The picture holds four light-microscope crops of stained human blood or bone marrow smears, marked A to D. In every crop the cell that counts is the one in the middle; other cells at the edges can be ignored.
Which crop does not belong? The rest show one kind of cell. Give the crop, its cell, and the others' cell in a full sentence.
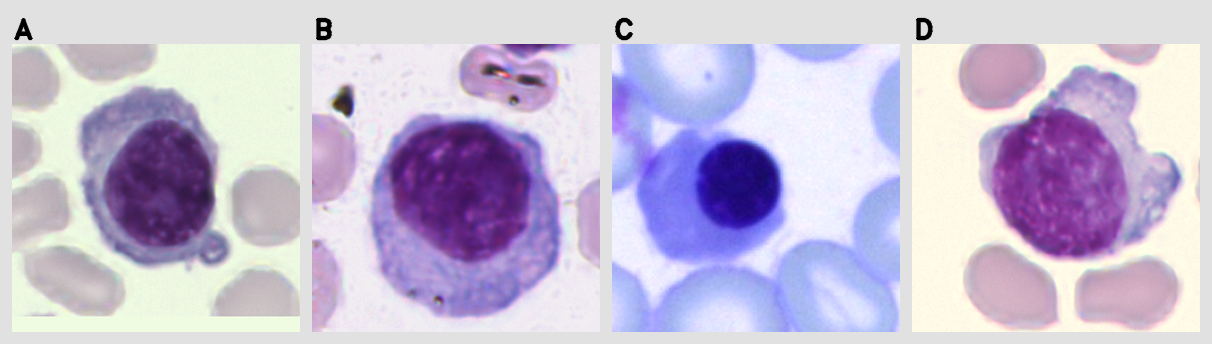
Crop C is the sole crop with a normoblast; the others all have plasma cells.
